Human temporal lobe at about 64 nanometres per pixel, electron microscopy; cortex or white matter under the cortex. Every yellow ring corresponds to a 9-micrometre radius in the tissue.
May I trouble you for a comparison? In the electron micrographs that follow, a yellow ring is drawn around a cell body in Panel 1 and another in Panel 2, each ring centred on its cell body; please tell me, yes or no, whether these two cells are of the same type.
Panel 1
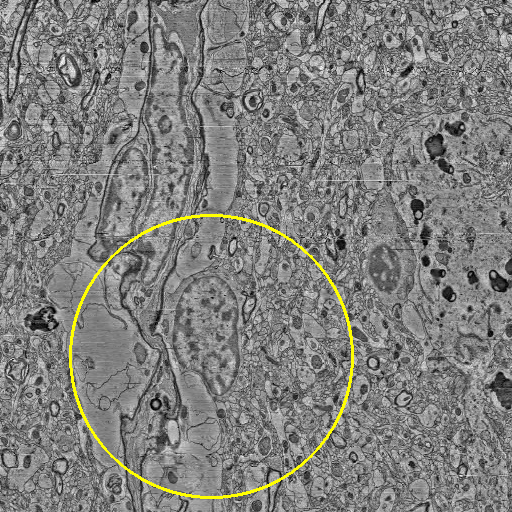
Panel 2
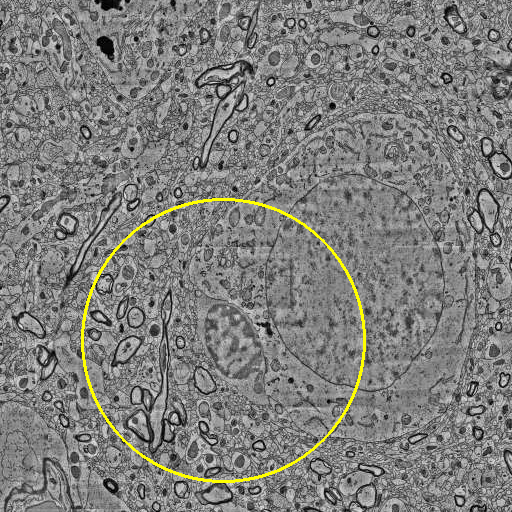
yes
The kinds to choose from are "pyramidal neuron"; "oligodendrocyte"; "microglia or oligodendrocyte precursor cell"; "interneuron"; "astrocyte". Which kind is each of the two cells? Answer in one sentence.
The cell at the ring centre is an oligodendrocyte in both pictures.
